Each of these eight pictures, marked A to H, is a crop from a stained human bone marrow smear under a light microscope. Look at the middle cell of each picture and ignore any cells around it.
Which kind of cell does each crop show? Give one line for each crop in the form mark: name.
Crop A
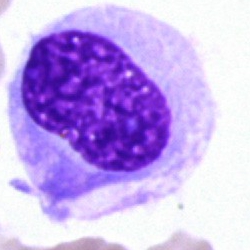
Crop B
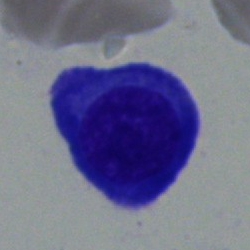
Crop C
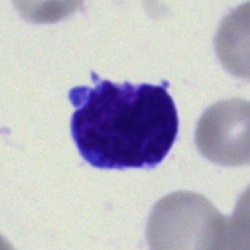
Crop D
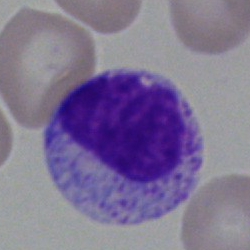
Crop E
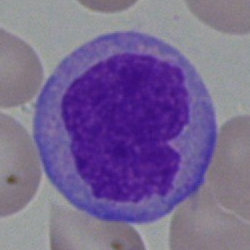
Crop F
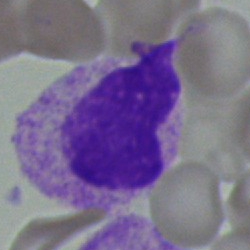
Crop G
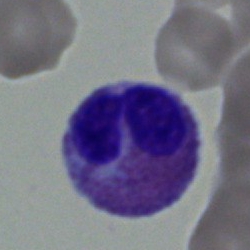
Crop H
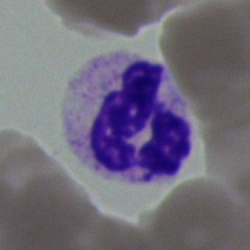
A: hairy cell
B: plasma cell
C: blast
D: myelocyte
E: monocyte
F: myelocyte
G: eosinophil
H: segmented neutrophil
